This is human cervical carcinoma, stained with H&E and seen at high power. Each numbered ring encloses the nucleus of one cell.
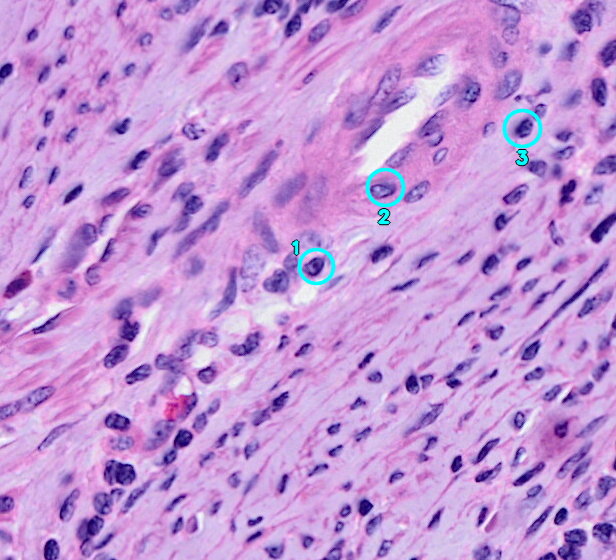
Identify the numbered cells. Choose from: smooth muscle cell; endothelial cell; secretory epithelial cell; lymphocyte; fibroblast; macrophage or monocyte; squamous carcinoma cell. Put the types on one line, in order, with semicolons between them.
lymphocyte; smooth muscle cell; lymphocyte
